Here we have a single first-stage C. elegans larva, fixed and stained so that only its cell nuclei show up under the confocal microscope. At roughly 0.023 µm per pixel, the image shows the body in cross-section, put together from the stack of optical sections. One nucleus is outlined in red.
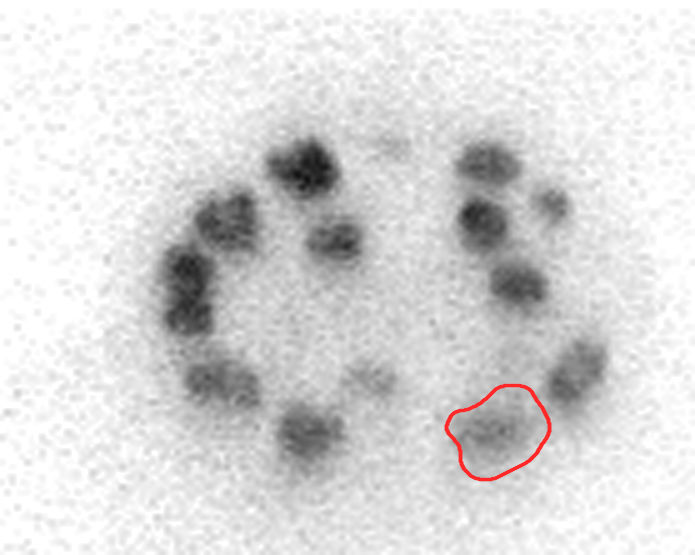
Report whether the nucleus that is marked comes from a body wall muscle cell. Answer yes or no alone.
no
